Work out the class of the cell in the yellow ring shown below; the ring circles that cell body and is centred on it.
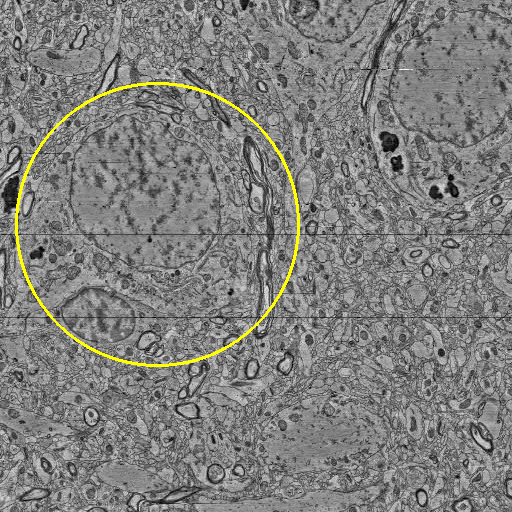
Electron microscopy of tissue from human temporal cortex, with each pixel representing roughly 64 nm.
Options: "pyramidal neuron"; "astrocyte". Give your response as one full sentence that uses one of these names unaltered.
The body ringed in yellow, right at the ring's centre, is that of a pyramidal neuron.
